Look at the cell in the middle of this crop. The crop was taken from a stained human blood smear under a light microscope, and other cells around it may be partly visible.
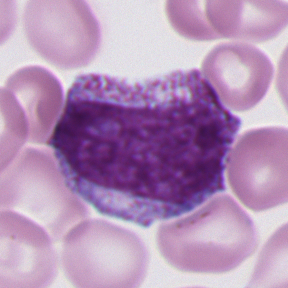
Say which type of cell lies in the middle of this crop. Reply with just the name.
myelocyte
